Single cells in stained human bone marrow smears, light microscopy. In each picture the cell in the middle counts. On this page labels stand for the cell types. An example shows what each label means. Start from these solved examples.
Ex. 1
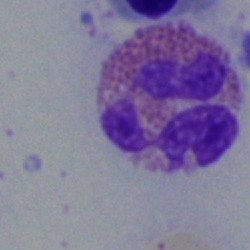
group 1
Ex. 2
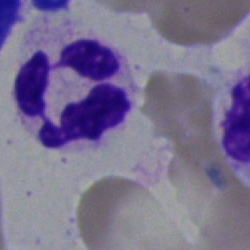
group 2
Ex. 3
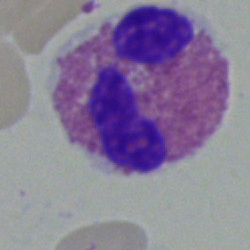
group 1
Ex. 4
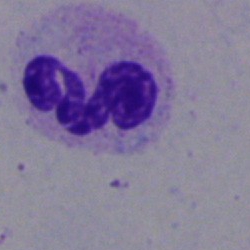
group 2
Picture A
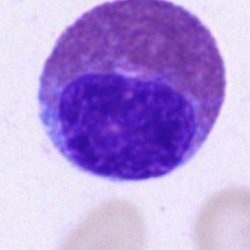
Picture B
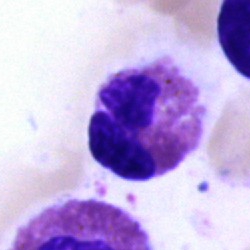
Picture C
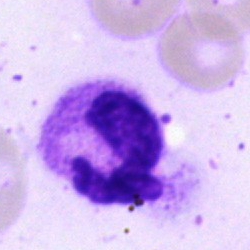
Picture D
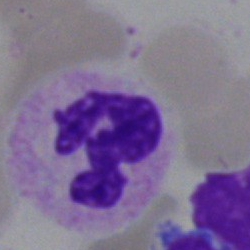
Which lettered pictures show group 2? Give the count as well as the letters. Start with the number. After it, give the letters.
2: C, D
